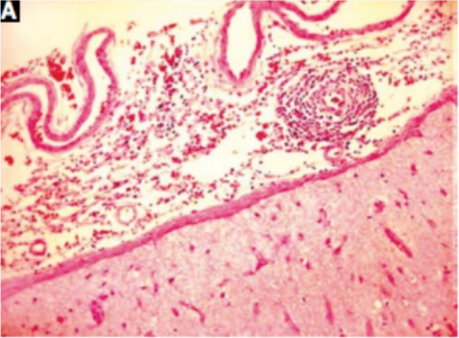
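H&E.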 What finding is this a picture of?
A: Lymphocytic infiltrates.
